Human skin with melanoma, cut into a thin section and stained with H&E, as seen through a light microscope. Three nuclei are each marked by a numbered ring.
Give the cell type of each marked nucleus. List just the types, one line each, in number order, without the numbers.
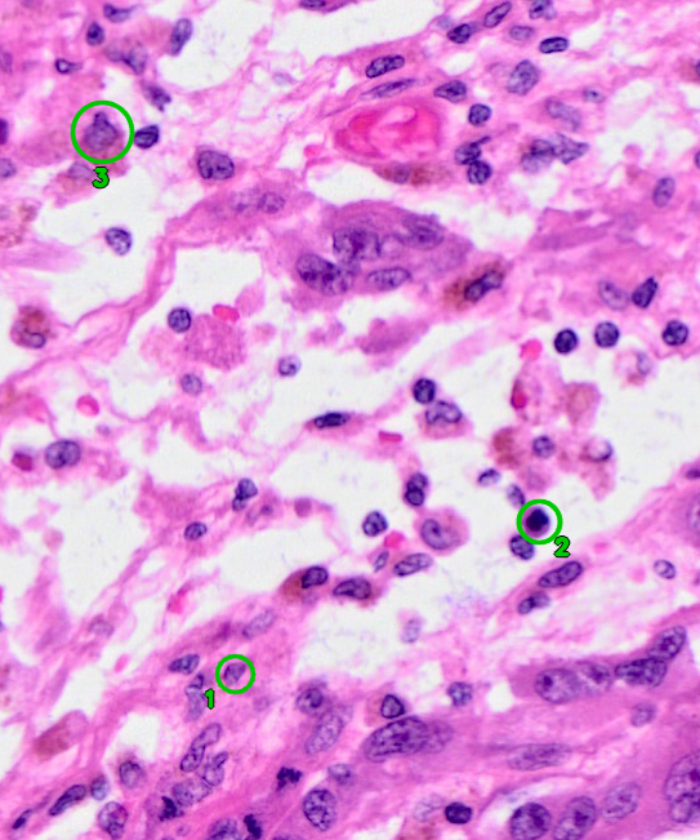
macrophage or monocyte
plasma cell
macrophage or monocyte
